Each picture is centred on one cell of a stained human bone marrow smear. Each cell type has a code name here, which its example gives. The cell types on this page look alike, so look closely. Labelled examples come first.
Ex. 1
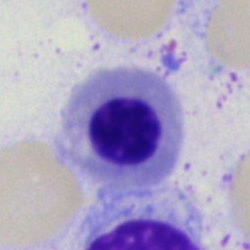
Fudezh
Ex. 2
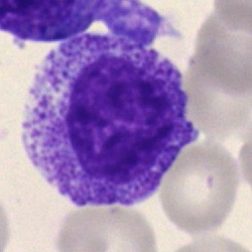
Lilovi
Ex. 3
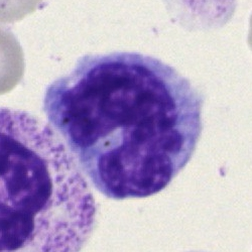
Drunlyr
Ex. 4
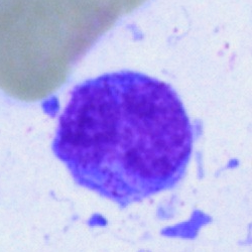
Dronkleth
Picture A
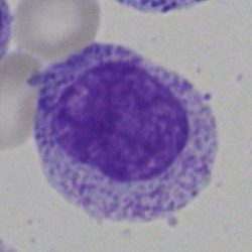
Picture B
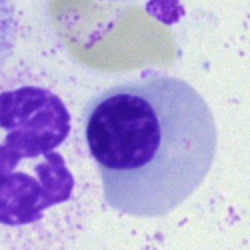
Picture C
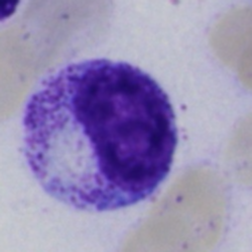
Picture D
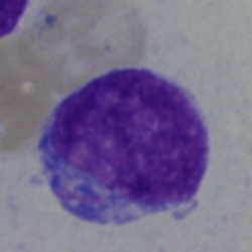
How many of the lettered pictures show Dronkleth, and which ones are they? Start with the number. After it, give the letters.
Count: 1 (D)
